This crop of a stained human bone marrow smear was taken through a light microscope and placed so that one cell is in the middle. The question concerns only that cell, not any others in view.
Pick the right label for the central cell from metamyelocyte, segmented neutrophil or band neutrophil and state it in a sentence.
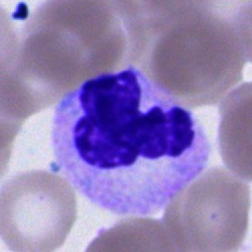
Here the centrally located cell is a segmented neutrophil.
